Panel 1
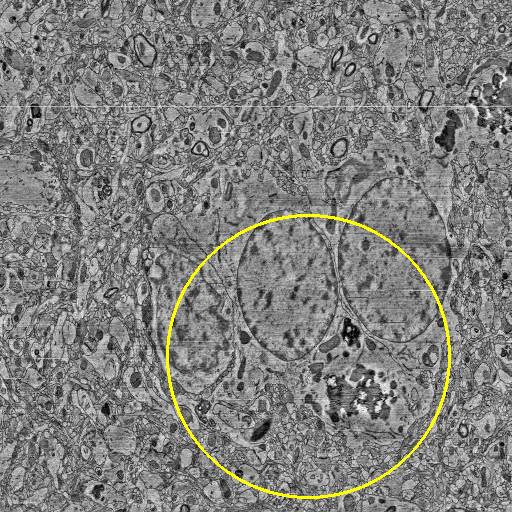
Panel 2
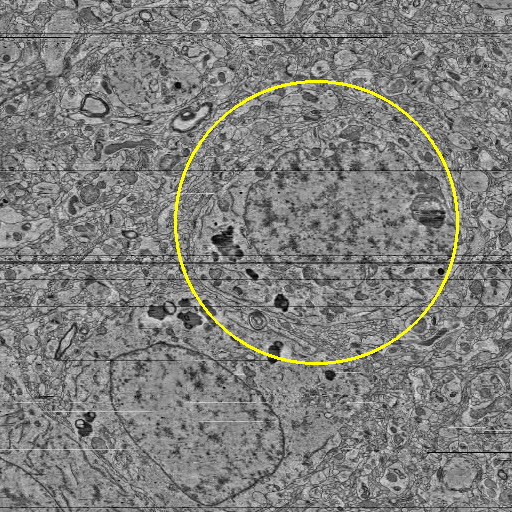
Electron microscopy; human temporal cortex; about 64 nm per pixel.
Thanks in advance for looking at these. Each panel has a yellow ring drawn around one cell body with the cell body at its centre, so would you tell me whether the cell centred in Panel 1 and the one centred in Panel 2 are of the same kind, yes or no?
no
